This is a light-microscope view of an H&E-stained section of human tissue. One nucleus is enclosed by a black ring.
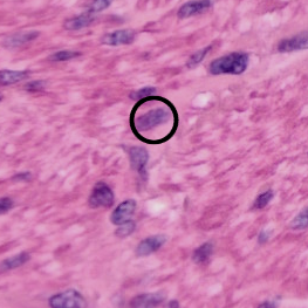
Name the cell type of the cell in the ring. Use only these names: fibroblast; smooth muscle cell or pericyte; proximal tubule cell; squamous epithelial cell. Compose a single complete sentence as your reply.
Among the cells in this section, the cell in the ring is a smooth muscle cell or pericyte.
